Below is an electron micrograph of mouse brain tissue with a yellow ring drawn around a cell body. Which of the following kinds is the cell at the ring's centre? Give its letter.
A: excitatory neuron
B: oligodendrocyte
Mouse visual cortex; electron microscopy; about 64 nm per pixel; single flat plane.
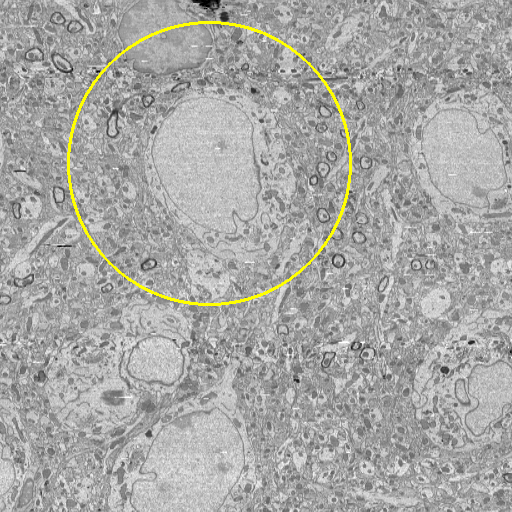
A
